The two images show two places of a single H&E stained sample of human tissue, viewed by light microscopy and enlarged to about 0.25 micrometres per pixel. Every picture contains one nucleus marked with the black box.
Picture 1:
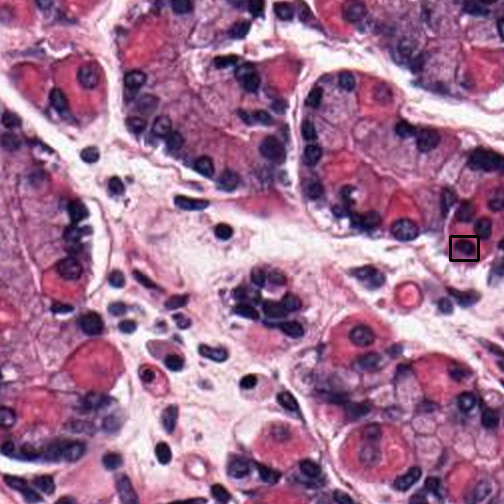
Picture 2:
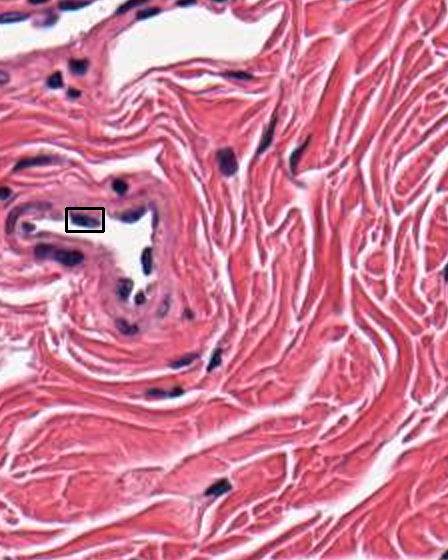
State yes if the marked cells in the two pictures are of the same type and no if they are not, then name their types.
No, the first is a parietal cell and the second an endothelial cell.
